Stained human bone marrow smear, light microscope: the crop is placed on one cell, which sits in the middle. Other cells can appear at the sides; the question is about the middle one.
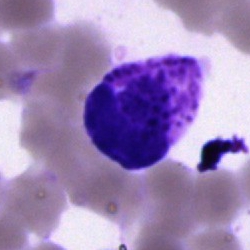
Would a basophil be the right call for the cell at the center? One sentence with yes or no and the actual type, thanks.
Yes, the cell that the crop is centered on is a basophil.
